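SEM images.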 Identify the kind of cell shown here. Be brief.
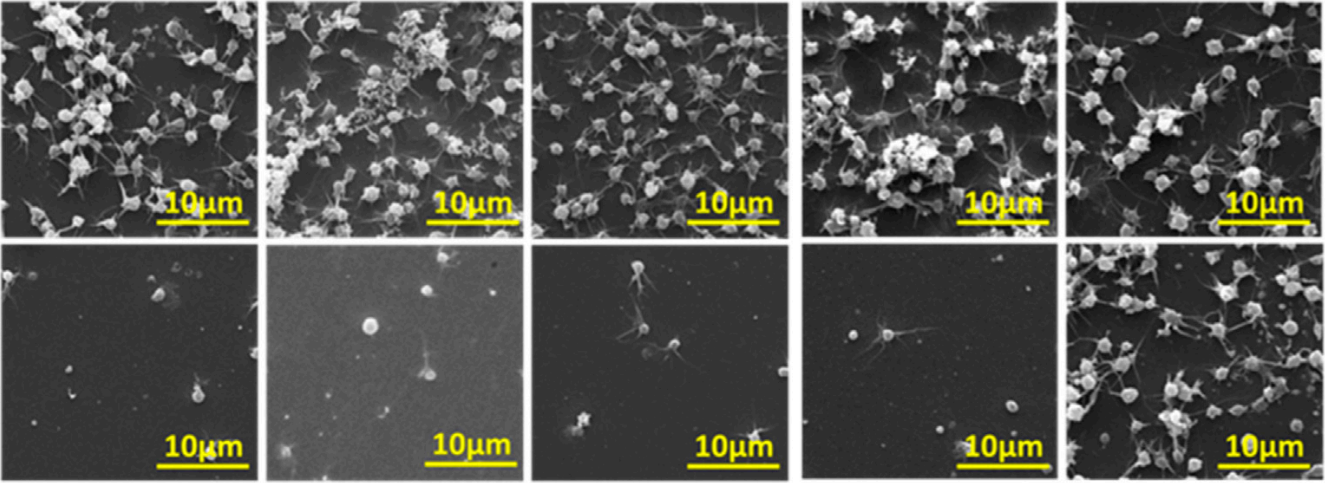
platelet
